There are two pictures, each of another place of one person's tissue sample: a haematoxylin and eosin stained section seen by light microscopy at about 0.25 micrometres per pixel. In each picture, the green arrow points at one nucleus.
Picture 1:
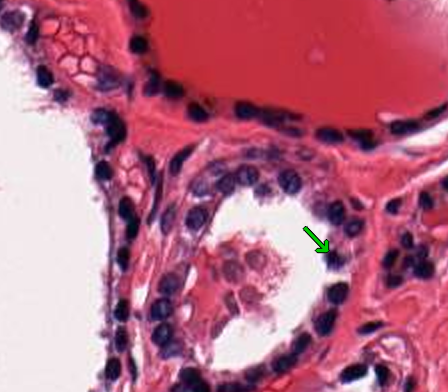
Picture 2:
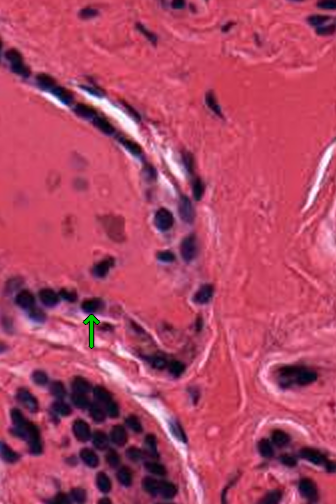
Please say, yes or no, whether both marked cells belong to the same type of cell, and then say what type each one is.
Yes, both are thyroid follicular cells.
